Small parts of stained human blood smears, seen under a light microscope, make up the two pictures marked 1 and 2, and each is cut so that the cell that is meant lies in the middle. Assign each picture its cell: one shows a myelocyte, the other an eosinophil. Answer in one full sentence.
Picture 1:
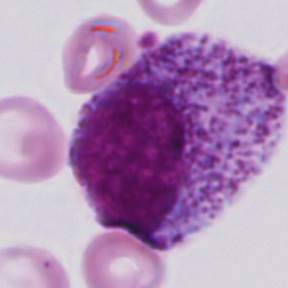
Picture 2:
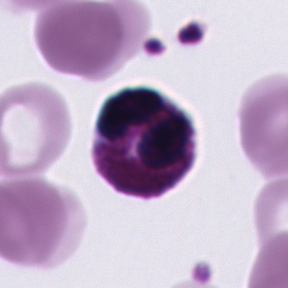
Picture 2 shows an eosinophil, while picture 1 shows a myelocyte.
